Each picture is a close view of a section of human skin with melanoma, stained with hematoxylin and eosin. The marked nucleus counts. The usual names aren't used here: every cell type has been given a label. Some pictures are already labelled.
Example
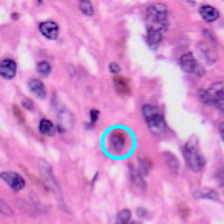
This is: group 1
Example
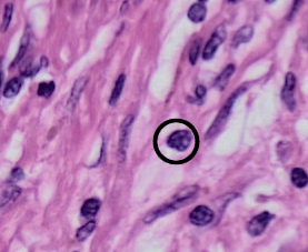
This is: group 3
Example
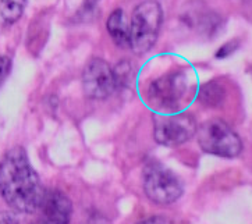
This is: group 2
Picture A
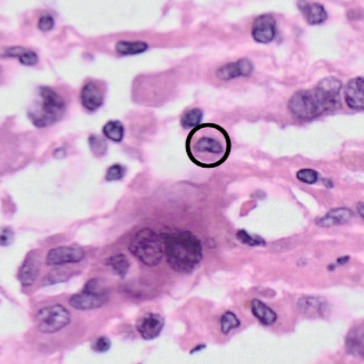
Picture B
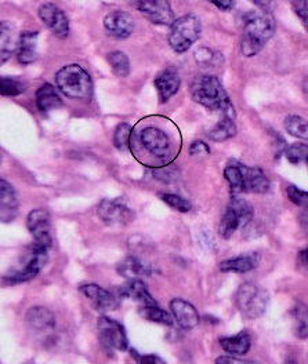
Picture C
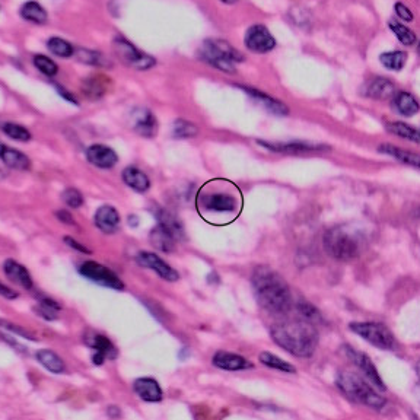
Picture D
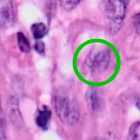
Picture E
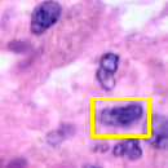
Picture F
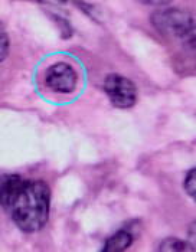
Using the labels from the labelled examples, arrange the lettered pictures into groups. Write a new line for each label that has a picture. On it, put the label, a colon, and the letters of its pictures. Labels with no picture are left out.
group 1: A, E
group 3: C, F
group 2: B, D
